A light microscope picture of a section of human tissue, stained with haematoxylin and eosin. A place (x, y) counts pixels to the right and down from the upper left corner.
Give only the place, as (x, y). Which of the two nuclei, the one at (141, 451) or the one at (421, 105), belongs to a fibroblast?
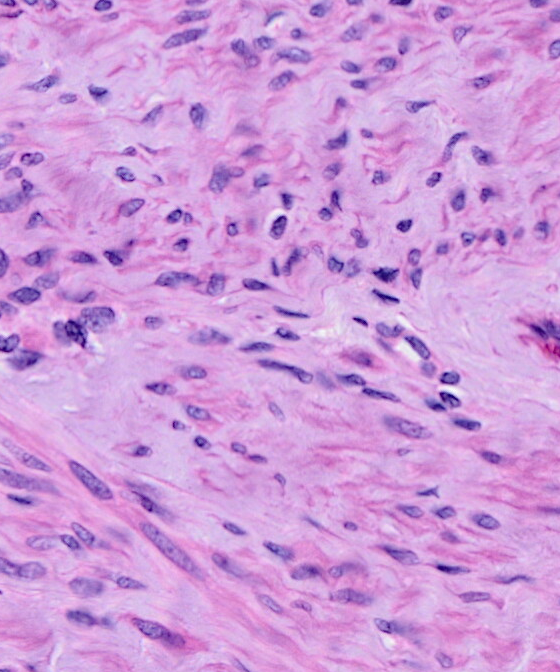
(421, 105)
